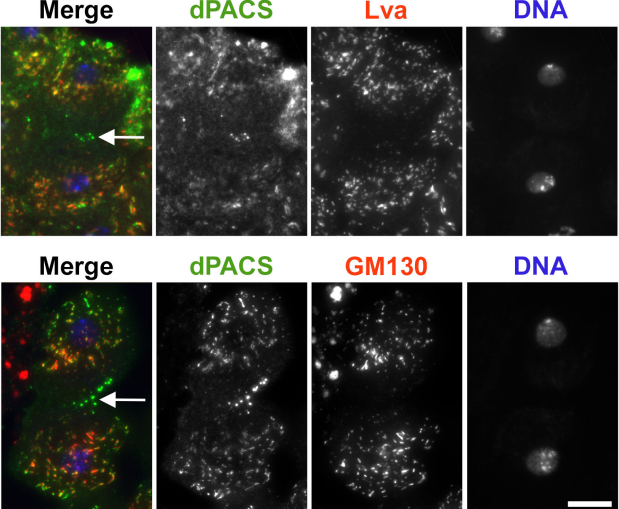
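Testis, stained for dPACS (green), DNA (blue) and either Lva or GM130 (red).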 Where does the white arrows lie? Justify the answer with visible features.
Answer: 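Each arrow points to a cluster of green dots lying between two cells. A nucleus lies on either side of the region the arrow points to.
Hence: cleavage site.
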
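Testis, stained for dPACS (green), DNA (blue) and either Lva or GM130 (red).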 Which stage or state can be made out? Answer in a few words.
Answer: Telophase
